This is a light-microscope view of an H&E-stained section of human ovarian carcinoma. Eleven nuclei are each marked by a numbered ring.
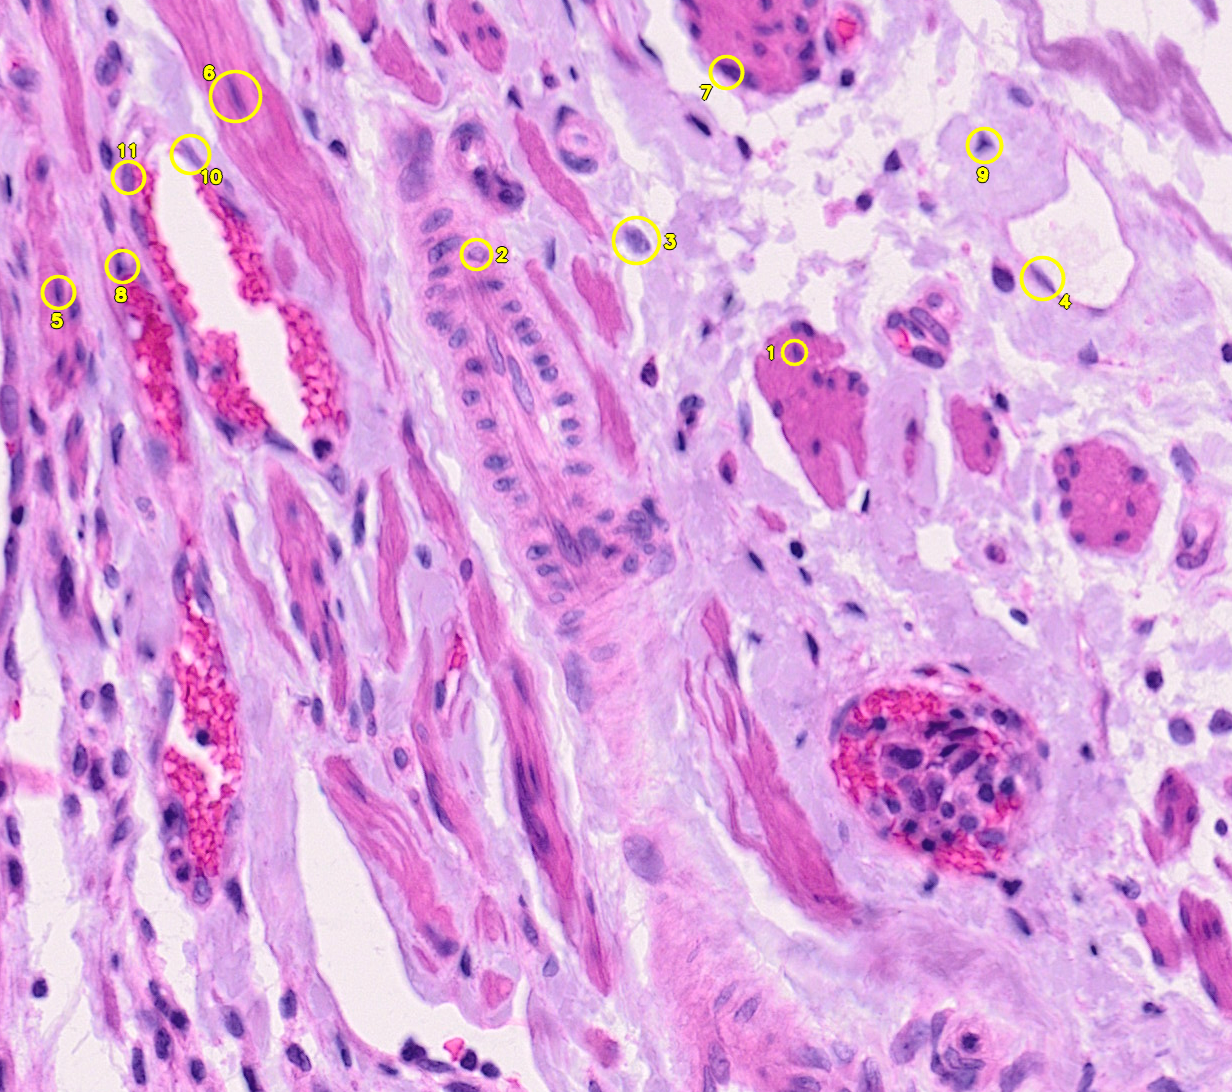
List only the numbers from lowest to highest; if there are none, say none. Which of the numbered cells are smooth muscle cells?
1, 2, 5, 6, 7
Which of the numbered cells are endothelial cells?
4, 8, 10, 11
